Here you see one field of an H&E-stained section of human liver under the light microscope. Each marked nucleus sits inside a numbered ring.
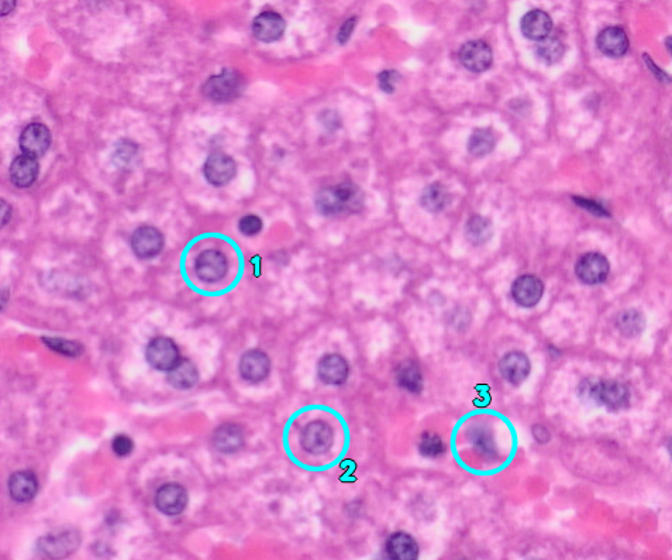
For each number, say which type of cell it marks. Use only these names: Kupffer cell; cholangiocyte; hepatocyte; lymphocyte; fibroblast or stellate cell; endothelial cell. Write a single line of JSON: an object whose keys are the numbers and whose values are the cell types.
{"1": "hepatocyte", "2": "hepatocyte", "3": "endothelial cell"}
